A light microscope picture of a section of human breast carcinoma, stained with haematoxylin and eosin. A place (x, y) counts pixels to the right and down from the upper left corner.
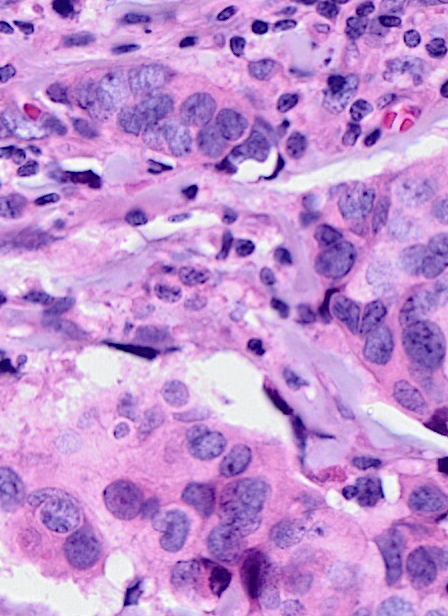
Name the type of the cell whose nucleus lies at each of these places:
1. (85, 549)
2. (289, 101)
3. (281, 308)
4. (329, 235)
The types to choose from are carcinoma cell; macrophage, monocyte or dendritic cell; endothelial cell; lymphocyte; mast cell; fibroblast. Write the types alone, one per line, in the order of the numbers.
carcinoma cell
lymphocyte
lymphocyte
carcinoma cell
